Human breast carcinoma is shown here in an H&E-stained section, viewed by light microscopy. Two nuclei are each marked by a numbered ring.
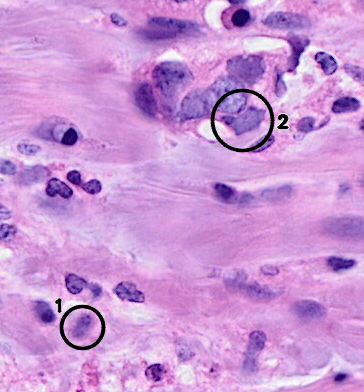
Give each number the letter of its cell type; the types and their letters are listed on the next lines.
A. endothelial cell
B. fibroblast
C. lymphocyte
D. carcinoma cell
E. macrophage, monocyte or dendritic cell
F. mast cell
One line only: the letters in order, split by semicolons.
F; D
